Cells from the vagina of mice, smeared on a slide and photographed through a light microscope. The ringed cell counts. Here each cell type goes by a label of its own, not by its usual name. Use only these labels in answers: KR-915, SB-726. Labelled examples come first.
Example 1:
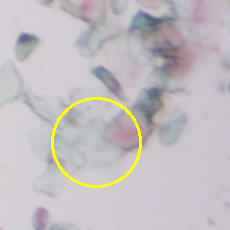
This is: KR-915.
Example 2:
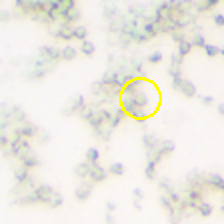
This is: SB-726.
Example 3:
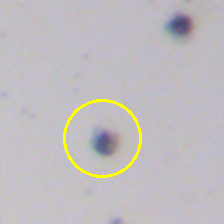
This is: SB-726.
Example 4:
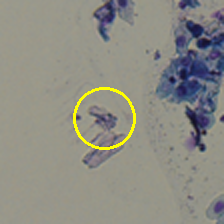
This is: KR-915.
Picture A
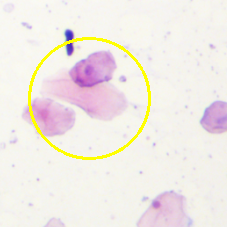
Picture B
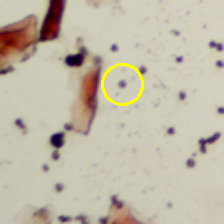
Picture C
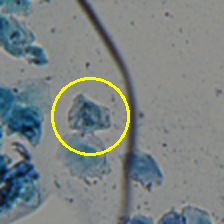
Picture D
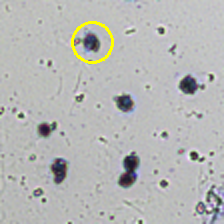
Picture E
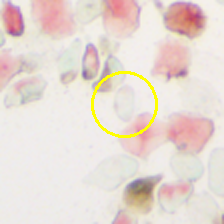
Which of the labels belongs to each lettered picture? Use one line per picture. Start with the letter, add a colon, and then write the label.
A: KR-915.
B: SB-726.
C: KR-915.
D: SB-726.
E: KR-915.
